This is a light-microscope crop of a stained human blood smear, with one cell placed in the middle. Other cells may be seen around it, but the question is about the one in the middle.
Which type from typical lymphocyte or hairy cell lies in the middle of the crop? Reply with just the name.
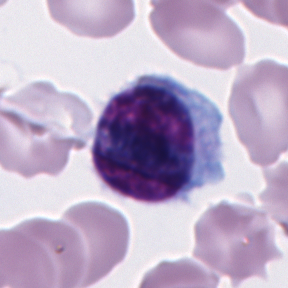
hairy cell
